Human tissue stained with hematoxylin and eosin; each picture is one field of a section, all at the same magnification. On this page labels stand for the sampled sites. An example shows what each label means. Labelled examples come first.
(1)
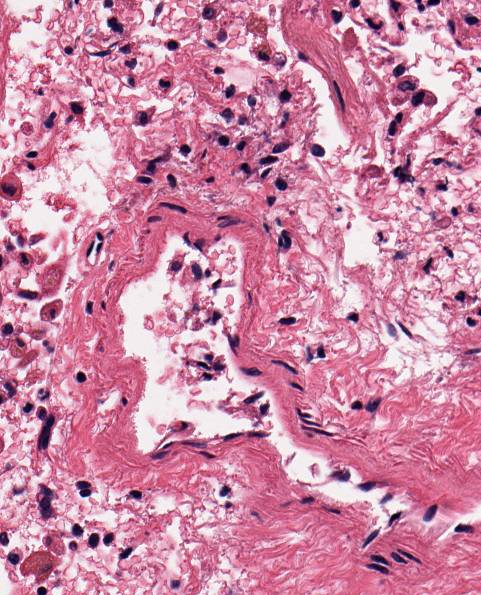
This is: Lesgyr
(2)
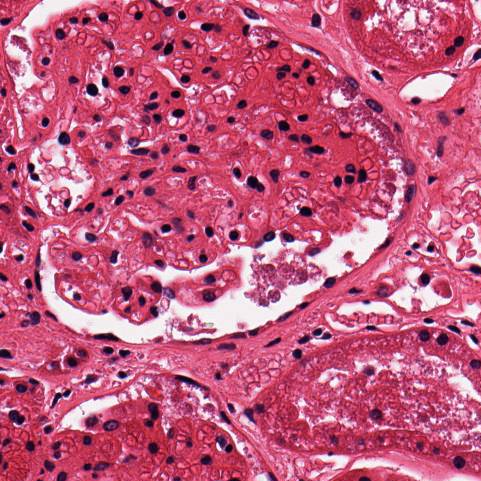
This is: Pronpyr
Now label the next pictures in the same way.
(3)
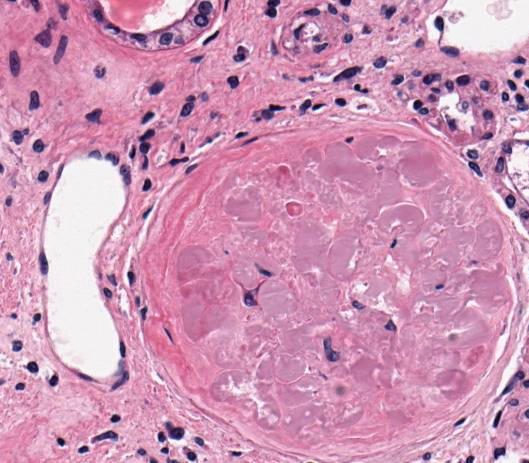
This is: Pronpyr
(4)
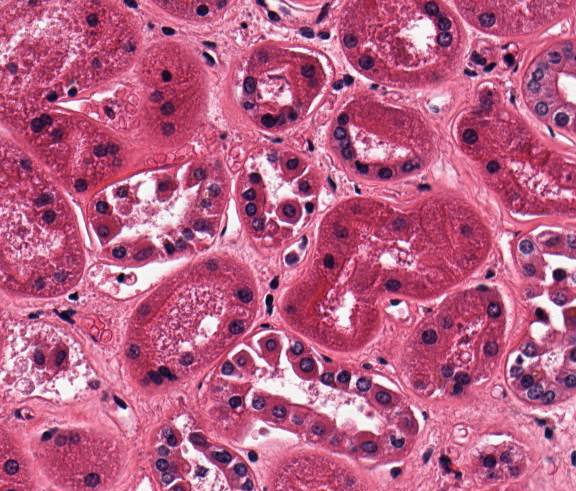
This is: Pronpyr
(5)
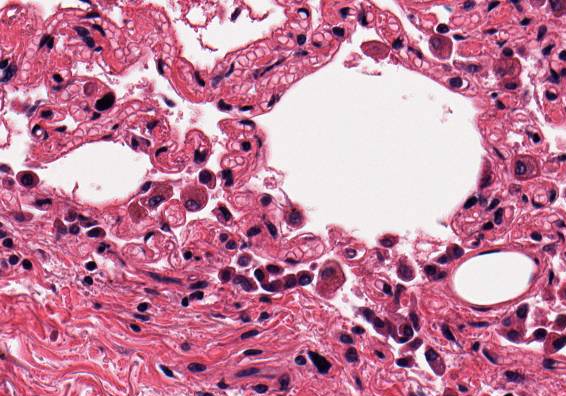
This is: Lesgyr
